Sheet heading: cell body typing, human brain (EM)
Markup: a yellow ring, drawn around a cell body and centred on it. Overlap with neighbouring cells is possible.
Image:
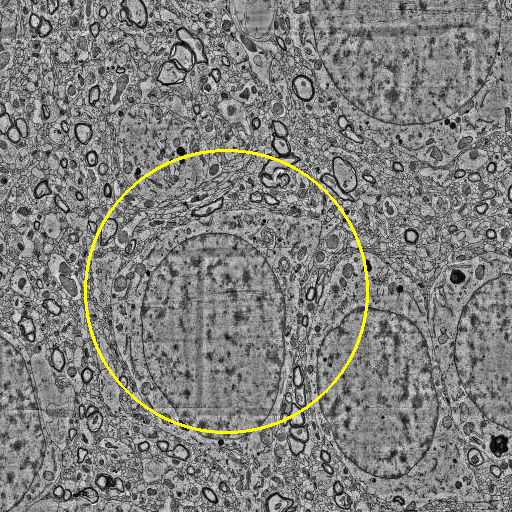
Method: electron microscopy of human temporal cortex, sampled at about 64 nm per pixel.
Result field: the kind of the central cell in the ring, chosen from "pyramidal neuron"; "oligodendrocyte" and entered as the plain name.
pyramidal neuron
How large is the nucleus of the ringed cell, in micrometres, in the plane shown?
Approximately 13 by 9 micrometers in this plane.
